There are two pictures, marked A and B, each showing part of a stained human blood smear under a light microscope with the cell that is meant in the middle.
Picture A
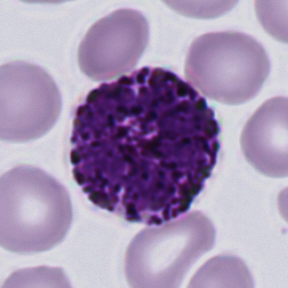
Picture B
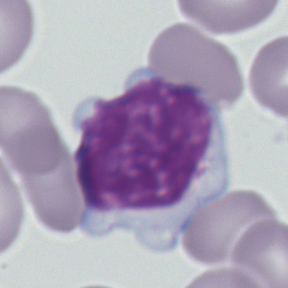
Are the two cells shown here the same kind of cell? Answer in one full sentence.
No; the cell in picture A is a basophil, while the one in picture B is a typical lymphocyte.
